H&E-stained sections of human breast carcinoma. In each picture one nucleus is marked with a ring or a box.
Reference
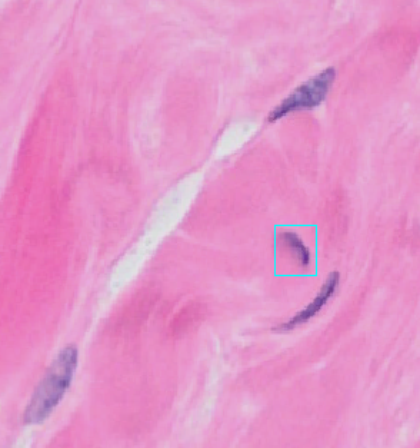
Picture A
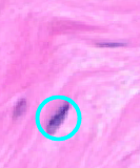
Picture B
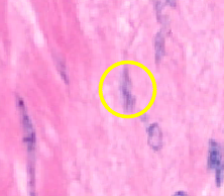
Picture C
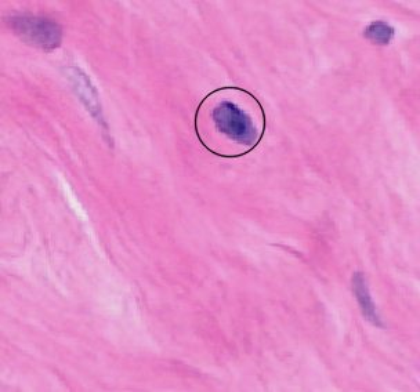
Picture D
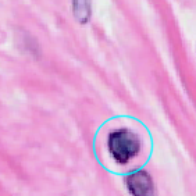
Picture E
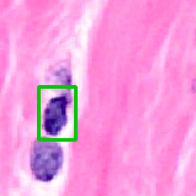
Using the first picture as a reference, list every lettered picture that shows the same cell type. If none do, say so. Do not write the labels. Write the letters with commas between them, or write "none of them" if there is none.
A, B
